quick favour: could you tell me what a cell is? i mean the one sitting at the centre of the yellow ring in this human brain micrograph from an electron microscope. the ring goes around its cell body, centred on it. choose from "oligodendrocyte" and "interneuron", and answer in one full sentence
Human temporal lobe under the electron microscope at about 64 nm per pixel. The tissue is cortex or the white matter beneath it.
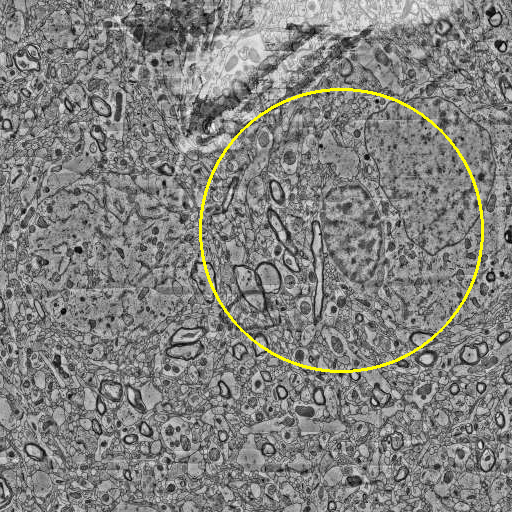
That's an oligodendrocyte, the cell sitting at the centre of the yellow ring.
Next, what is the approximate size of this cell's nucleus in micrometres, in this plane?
The nucleus measures about 6 by 4 micrometres, so it is clearly longer than it is wide in this plane.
